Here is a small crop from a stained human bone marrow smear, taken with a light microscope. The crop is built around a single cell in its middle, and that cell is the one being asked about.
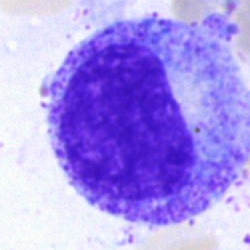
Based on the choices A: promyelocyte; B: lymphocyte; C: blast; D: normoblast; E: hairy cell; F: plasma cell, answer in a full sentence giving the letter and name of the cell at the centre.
For this crop, option A is right, the centered cell being a promyelocyte.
